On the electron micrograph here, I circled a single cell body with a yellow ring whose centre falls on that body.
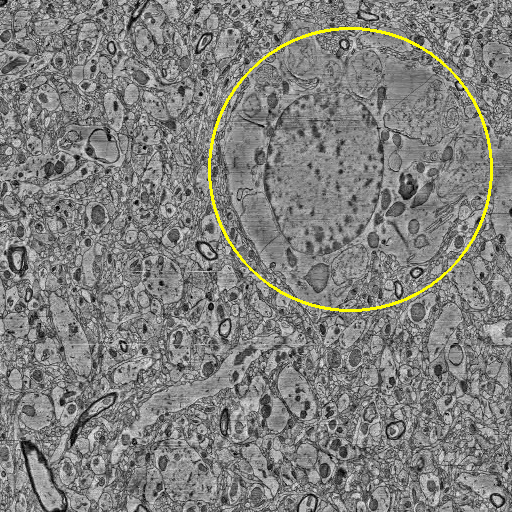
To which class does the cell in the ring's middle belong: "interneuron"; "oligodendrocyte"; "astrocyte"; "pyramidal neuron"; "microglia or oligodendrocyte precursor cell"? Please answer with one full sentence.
In this picture, the cell body circled at the ring's centre belongs to an astrocyte.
